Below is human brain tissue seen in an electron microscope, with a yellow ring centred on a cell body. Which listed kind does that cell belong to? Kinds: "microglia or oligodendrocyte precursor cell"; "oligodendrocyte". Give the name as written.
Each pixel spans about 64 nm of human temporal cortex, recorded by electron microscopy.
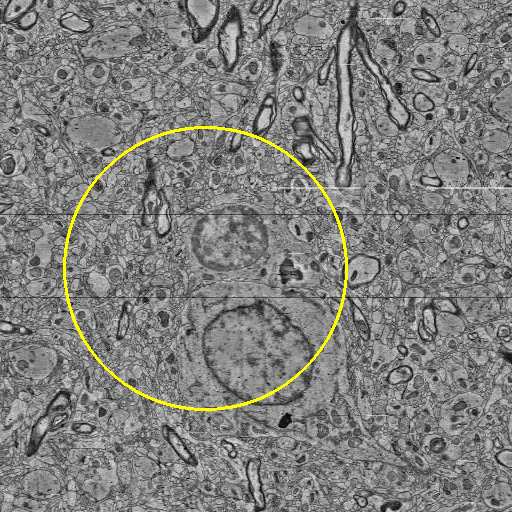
oligodendrocyte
